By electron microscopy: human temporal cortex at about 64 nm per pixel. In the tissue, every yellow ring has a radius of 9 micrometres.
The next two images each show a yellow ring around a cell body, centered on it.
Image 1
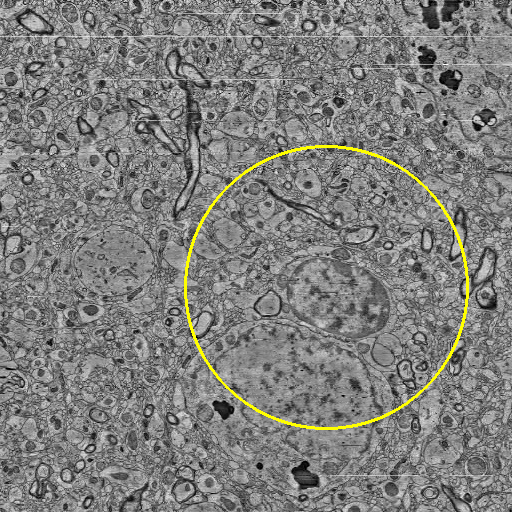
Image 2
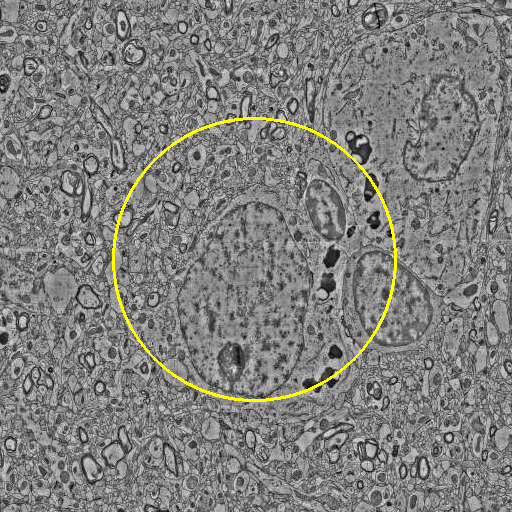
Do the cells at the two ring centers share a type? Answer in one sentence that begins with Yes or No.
No, across the two images the cells at the ring centers are of two types.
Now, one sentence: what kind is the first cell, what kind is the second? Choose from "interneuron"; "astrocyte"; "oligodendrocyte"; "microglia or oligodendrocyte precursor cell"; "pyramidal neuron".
The first picture has an oligodendrocyte at its ring centre, and the second has an interneuron.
